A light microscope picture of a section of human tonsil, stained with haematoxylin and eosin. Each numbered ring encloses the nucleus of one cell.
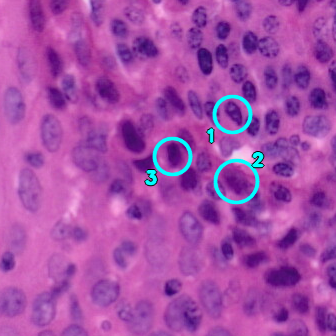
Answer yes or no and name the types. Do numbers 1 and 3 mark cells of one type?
No, what is marked as cell 1 is a plasma cell, and what is marked as cell 3 is a squamous epithelial cell.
